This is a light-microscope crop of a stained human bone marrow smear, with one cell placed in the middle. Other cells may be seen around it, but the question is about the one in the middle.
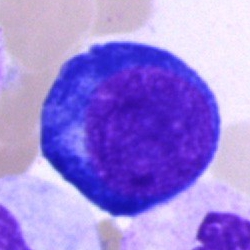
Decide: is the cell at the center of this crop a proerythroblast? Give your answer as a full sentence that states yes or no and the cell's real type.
Yes, the cell in the middle is recognised as a proerythroblast.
